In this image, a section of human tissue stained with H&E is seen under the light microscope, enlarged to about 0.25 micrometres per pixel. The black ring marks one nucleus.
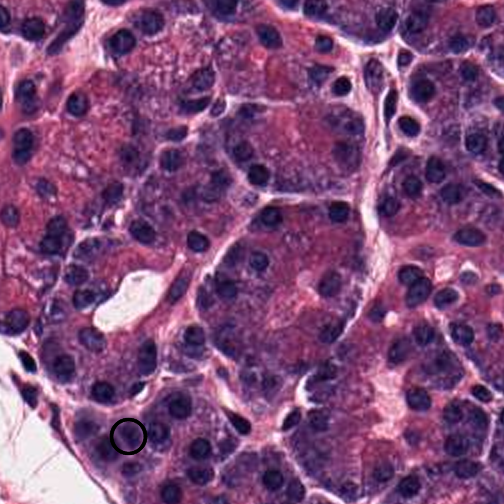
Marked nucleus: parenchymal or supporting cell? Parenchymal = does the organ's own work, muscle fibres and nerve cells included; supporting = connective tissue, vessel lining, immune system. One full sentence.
The marked nucleus is the nucleus of a parenchymal cell, that is, a pancreatic acinar cell.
